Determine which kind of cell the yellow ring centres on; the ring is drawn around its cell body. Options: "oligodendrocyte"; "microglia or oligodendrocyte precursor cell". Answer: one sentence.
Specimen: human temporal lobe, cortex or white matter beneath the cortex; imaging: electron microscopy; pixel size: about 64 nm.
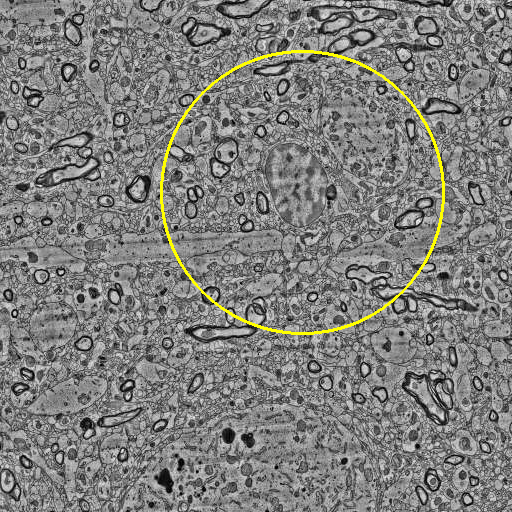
The ring centres on a microglial cell or oligodendrocyte precursor cell.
